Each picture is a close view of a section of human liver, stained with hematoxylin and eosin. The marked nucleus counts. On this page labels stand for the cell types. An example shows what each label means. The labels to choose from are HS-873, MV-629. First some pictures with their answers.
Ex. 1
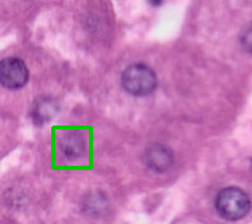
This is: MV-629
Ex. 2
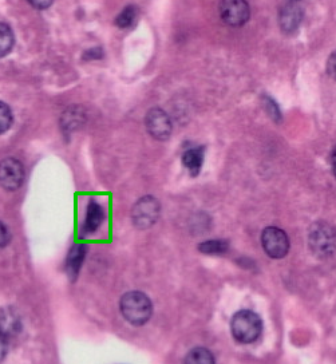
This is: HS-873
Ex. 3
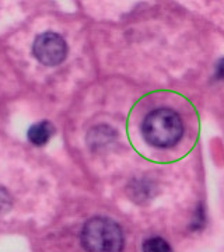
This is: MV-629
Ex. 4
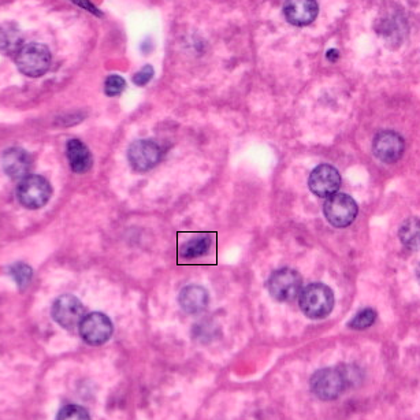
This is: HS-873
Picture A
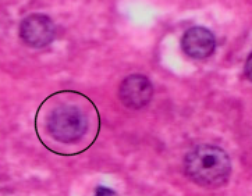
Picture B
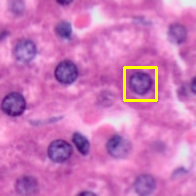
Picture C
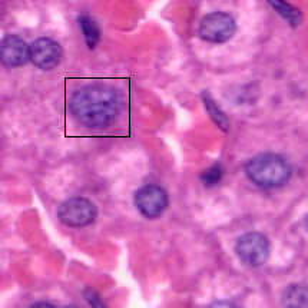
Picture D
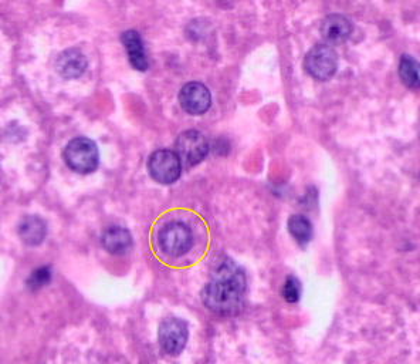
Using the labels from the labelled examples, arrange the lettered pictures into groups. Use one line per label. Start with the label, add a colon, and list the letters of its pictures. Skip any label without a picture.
MV-629: A, B, C, D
